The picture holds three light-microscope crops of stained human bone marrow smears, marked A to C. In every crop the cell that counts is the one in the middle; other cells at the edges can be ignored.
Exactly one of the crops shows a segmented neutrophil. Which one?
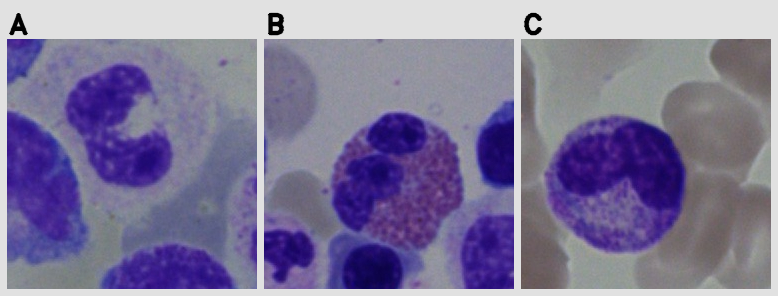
A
